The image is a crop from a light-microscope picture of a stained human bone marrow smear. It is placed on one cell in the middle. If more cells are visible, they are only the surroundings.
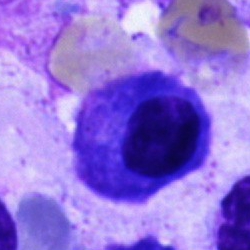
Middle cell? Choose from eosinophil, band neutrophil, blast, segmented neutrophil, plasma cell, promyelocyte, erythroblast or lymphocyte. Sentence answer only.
As for the cell in the middle, it is a plasma cell.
